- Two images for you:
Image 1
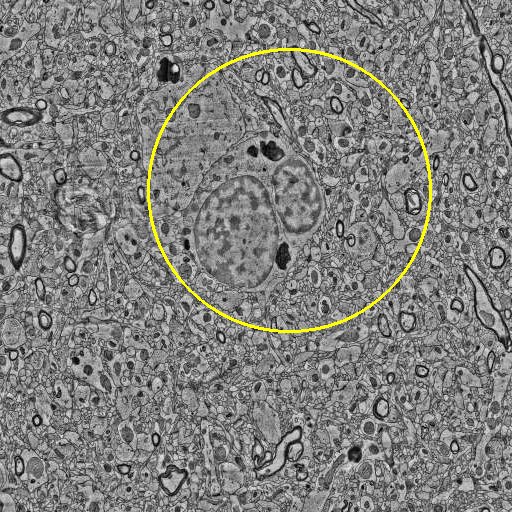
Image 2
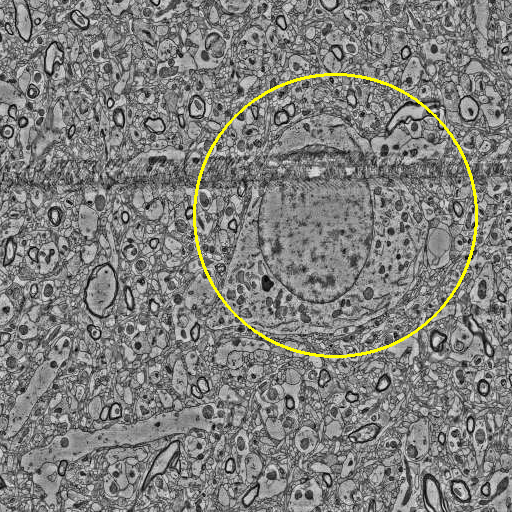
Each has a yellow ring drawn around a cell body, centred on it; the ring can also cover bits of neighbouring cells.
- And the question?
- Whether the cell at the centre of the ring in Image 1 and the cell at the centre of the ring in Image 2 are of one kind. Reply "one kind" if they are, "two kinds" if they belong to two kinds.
two kinds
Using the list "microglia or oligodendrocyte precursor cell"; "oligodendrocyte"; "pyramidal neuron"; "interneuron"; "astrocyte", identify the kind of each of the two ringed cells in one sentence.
The first is an oligodendrocyte and the second is an interneuron.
